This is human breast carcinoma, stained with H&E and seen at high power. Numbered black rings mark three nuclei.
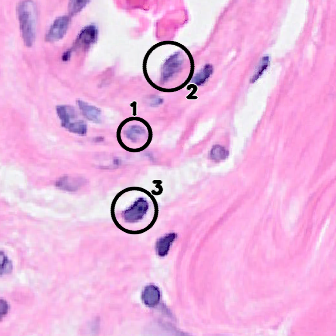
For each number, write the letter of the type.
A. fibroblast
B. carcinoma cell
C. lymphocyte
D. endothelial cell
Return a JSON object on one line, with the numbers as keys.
{"1": "D", "2": "D", "3": "C"}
